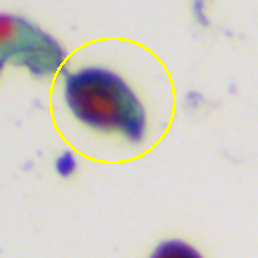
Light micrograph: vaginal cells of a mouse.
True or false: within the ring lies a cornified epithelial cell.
False: a nucleated epithelial cell lies within the ring.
